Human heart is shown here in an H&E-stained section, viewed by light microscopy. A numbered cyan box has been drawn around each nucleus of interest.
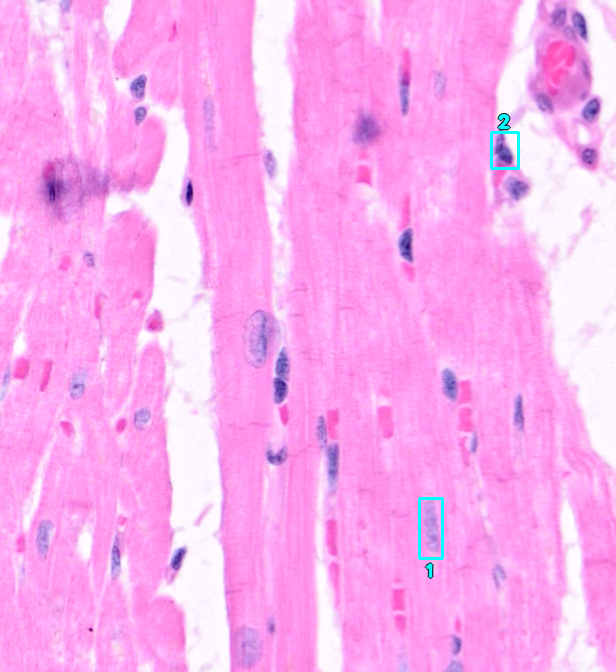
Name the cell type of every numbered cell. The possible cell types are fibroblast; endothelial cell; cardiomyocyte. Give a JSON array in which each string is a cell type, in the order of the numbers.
["cardiomyocyte", "fibroblast"]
